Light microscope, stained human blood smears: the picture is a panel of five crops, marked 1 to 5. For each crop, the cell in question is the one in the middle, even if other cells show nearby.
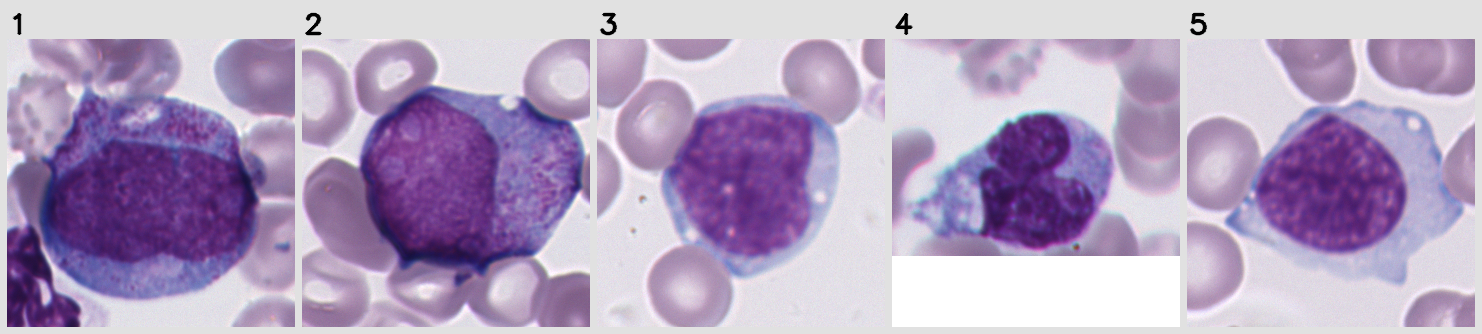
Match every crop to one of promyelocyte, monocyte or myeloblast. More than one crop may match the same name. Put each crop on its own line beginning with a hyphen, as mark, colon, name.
- 1: promyelocyte
- 2: promyelocyte
- 3: myeloblast
- 4: monocyte
- 5: myeloblast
